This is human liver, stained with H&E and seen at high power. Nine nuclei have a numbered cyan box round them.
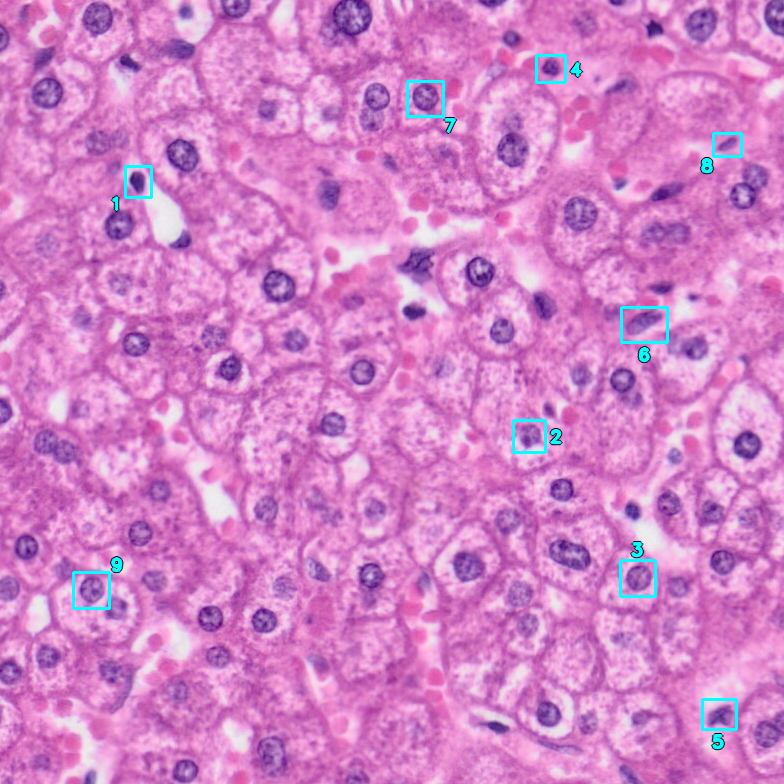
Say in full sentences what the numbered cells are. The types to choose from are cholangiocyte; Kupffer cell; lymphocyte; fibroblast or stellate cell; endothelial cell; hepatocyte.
Cell 1 is a lymphocyte, cell 2 is a hepatocyte, cell 3 is a hepatocyte, cell 4 is a lymphocyte, cell 5 is an endothelial cell, cell 6 is a Kupffer cell, cell 7 is a hepatocyte, cell 8 is a lymphocyte and cell 9 is a hepatocyte.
